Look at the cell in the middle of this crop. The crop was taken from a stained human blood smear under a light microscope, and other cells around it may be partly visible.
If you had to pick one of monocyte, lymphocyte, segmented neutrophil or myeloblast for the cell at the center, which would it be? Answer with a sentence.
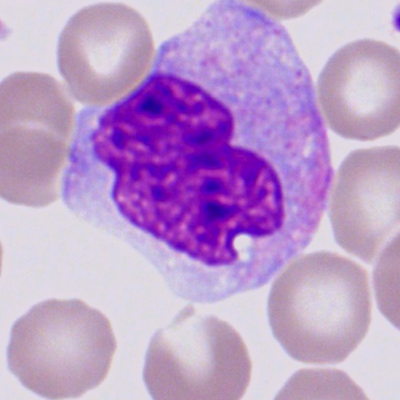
Located at the centre of the crop is a monocyte.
